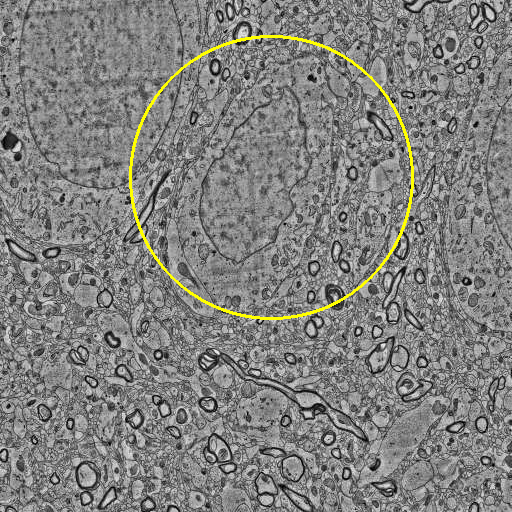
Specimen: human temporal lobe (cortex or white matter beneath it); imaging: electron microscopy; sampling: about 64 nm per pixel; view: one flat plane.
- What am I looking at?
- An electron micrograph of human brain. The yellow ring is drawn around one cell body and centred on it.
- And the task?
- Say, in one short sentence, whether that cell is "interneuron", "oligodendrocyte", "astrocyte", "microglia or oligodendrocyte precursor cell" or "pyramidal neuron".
The cell in the middle of the ring is a pyramidal neuron.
